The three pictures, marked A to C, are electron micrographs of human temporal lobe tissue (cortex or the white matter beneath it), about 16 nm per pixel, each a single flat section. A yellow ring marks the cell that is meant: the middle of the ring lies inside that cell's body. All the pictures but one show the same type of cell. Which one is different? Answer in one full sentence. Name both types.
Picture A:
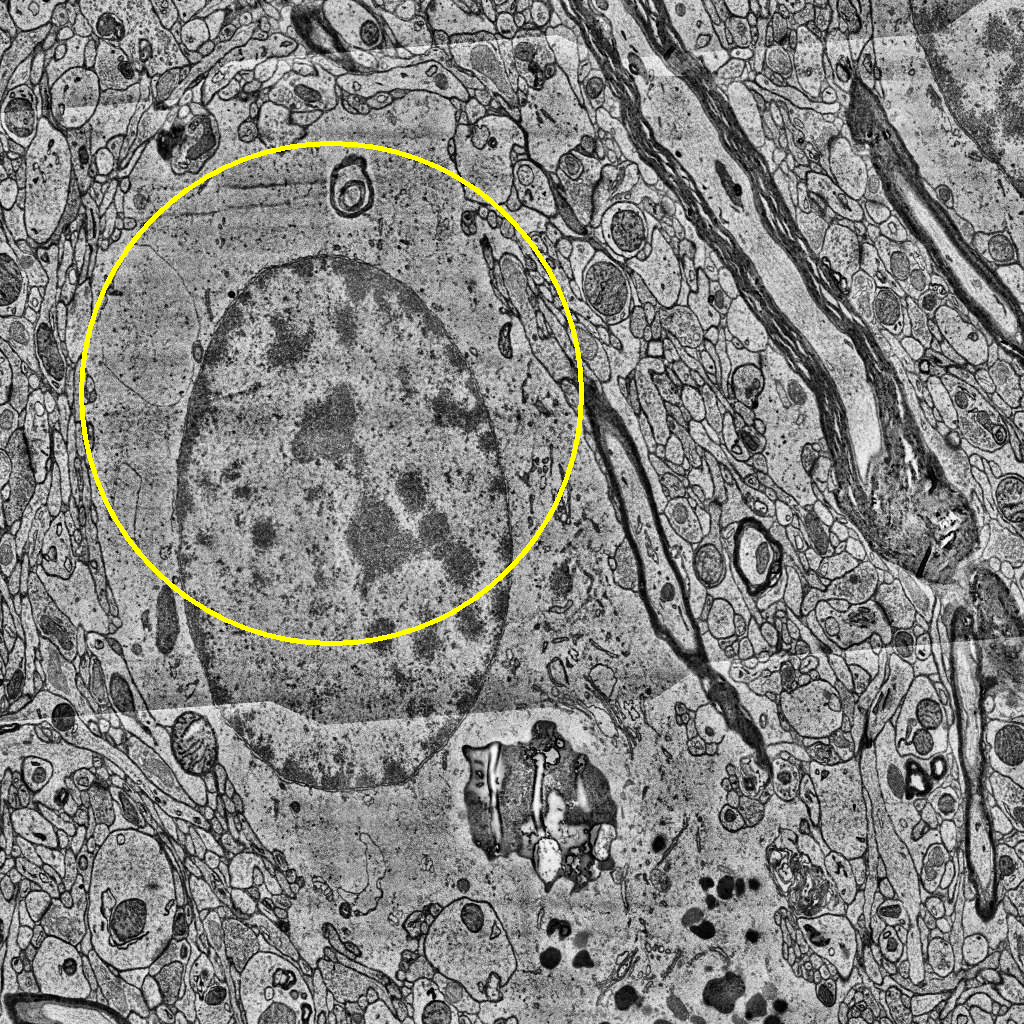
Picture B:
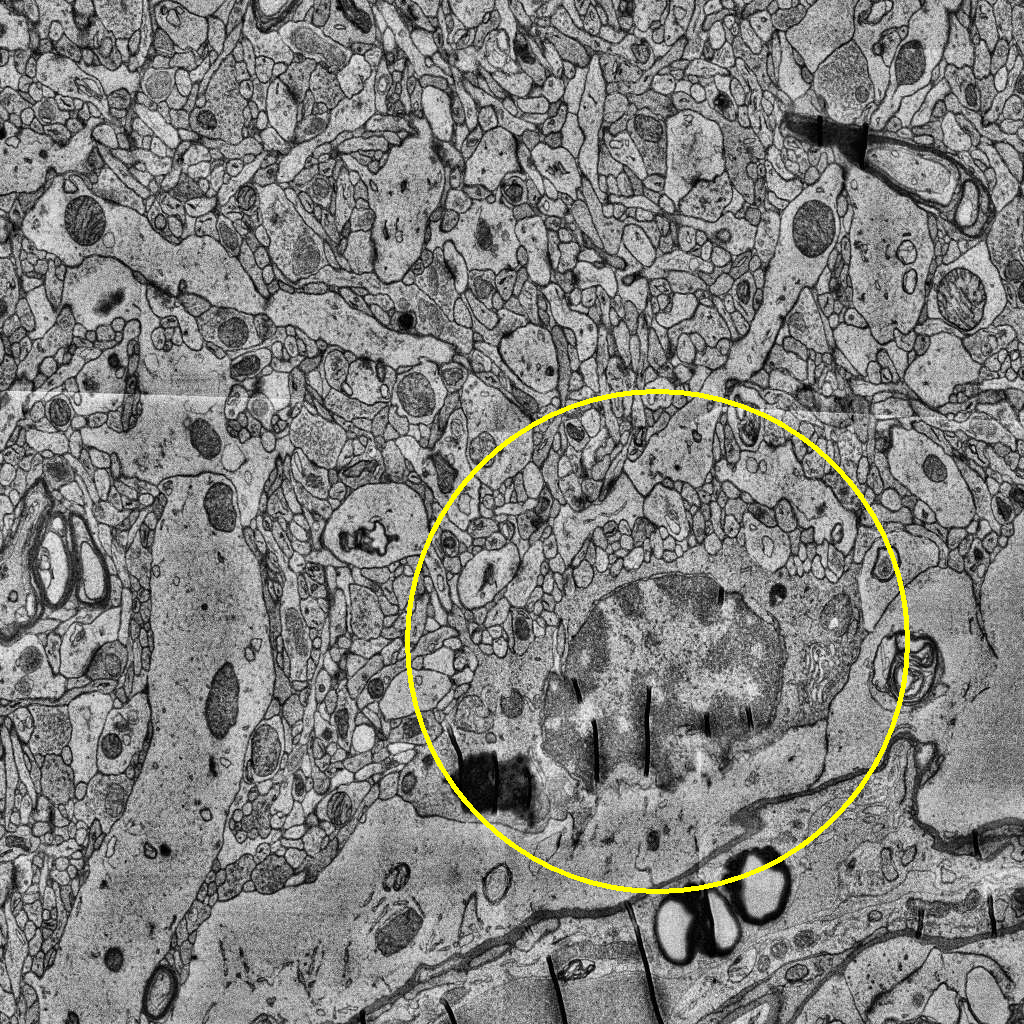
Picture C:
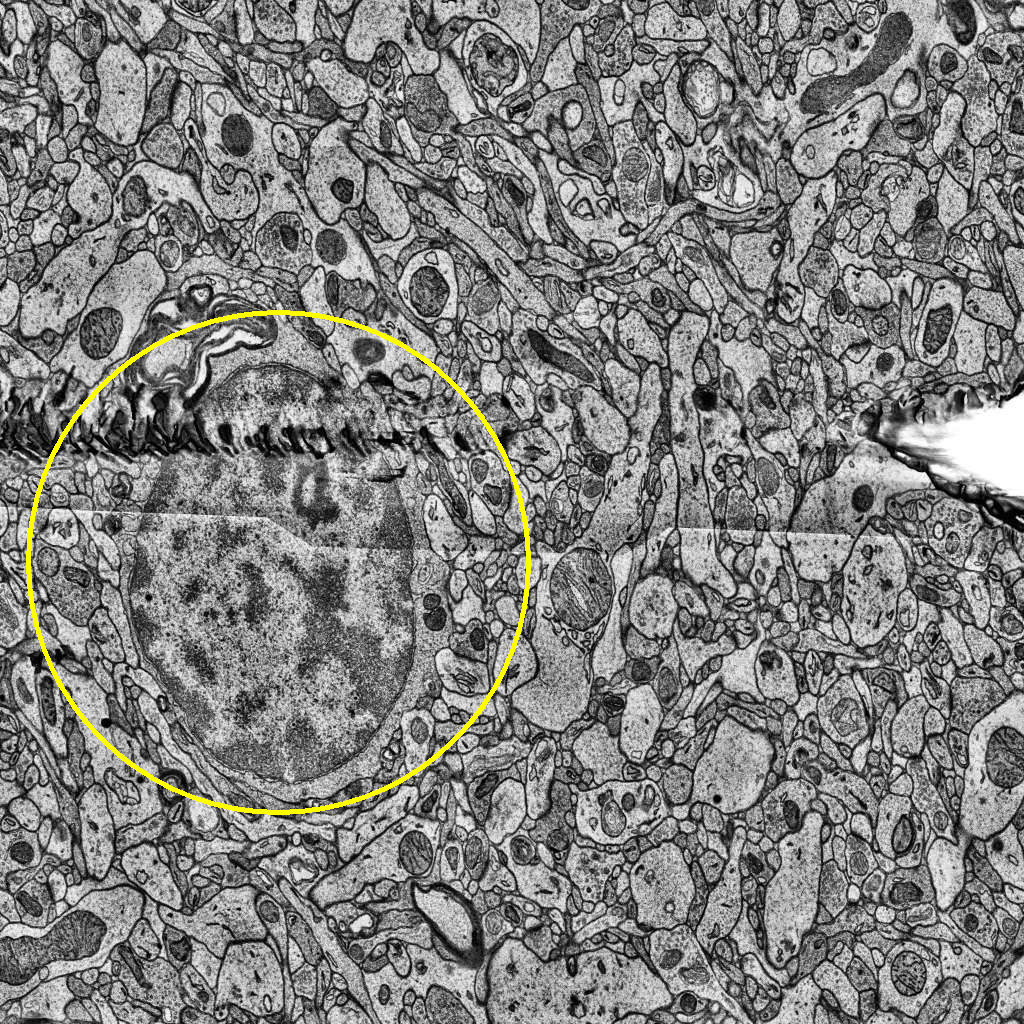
The others show oligodendrocytes, but picture A shows an astrocyte.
